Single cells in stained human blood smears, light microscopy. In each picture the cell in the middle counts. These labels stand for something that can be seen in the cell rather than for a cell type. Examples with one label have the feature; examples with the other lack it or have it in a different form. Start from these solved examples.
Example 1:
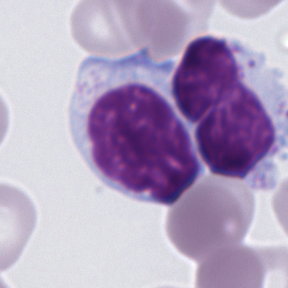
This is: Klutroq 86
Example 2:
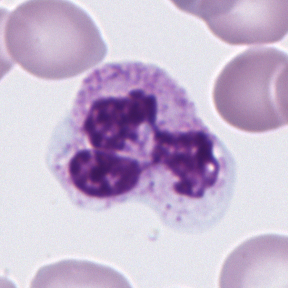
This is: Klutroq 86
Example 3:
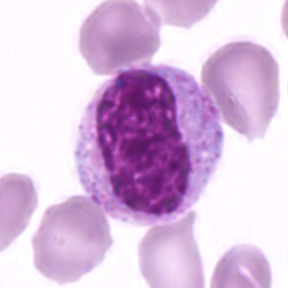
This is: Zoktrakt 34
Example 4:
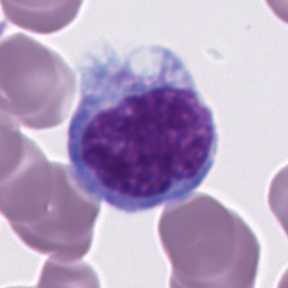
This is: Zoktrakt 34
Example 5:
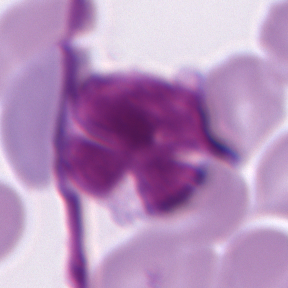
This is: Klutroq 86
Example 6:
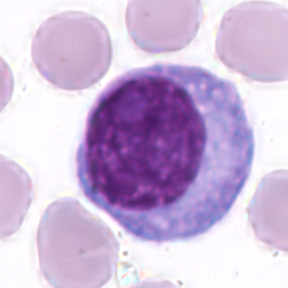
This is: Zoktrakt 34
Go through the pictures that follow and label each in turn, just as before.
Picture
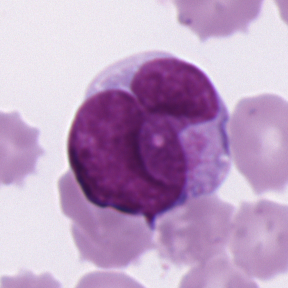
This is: Klutroq 86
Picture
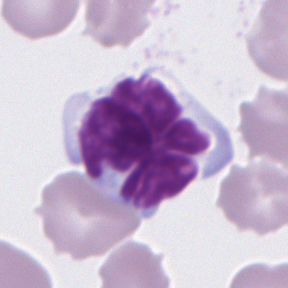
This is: Klutroq 86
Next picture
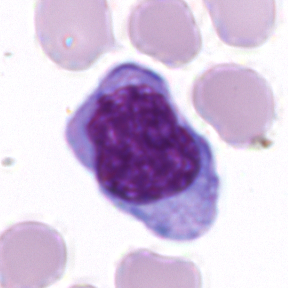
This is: Zoktrakt 34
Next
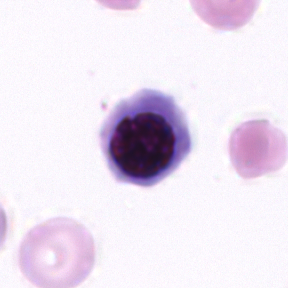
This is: Zoktrakt 34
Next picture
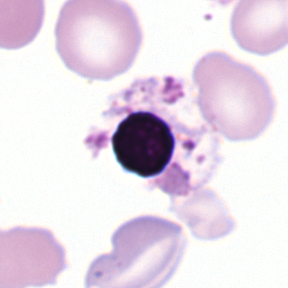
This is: Zoktrakt 34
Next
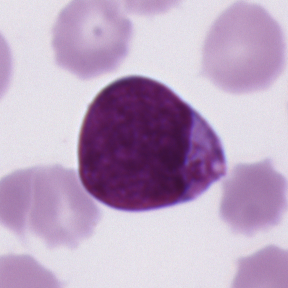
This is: Zoktrakt 34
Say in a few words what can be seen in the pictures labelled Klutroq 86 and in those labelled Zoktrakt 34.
Klutroq 86: lobed nucleus; Zoktrakt 34: single compact nucleus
